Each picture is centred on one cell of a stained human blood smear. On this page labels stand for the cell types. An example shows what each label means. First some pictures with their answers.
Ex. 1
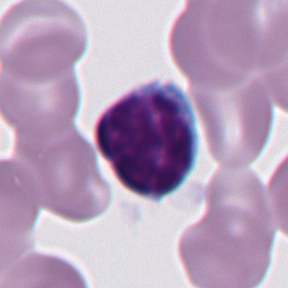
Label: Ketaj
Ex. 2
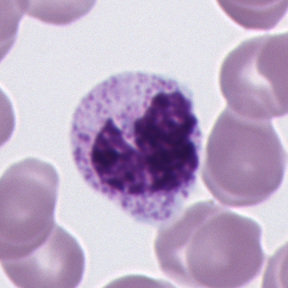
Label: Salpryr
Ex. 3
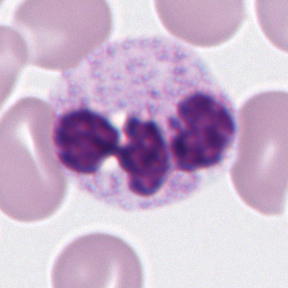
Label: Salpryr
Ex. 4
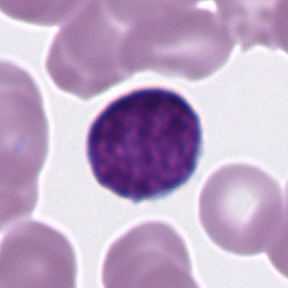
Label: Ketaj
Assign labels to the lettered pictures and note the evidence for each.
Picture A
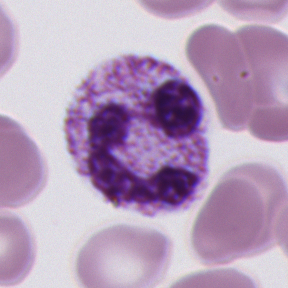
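Salpryr. Reason: The cytoplasm is abundant and pale pinkish-lilac.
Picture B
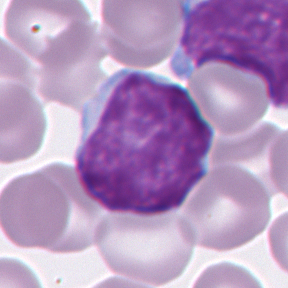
Ketaj. Reason: The cytoplasm forms only a thin rim around the nucleus.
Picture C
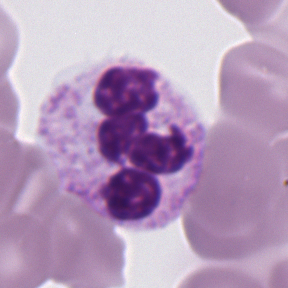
Salpryr. Reason: The nucleus is divided into four separate lobes.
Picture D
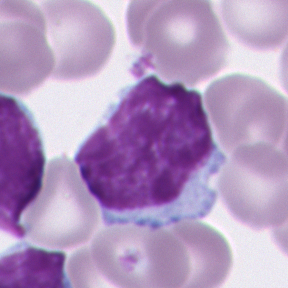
Ketaj. Reason: The cytoplasm is scant and lies mainly as a rim along the lower edge of the cell.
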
